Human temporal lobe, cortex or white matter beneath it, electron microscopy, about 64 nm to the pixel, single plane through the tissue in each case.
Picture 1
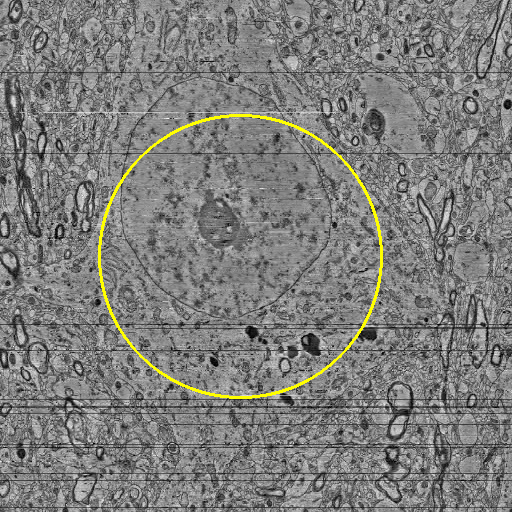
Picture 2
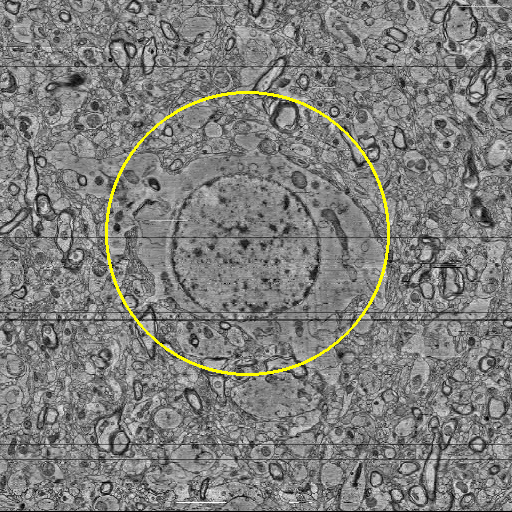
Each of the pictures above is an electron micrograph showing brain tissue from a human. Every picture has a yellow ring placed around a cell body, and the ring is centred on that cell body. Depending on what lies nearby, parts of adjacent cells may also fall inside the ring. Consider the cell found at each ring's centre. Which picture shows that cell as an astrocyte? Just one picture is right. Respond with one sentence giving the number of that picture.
The picture showing the wanted cell at the ring's centre is number 2.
